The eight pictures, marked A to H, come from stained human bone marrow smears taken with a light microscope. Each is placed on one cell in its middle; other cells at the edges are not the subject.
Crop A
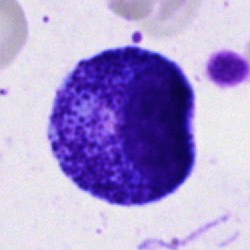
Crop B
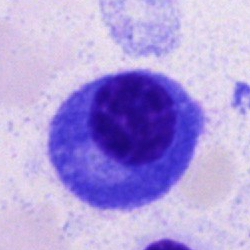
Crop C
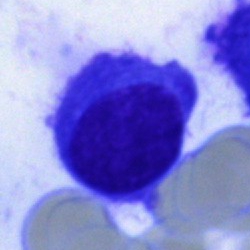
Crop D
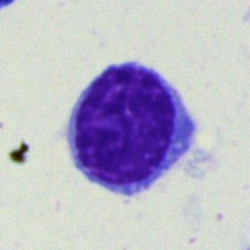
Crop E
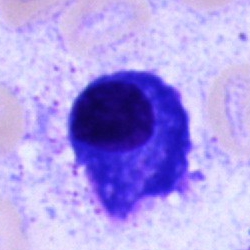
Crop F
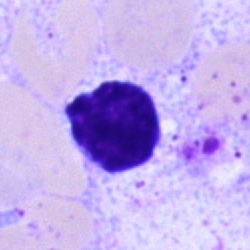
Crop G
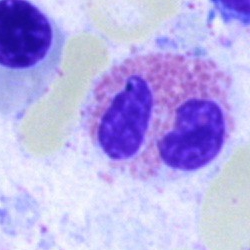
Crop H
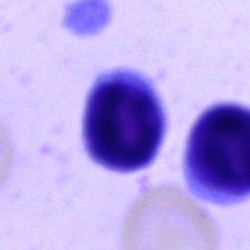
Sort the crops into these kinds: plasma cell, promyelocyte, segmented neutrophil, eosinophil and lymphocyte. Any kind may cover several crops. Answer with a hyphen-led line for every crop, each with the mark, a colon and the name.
- A: promyelocyte
- B: plasma cell
- C: plasma cell
- D: lymphocyte
- E: plasma cell
- F: lymphocyte
- G: eosinophil
- H: lymphocyte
